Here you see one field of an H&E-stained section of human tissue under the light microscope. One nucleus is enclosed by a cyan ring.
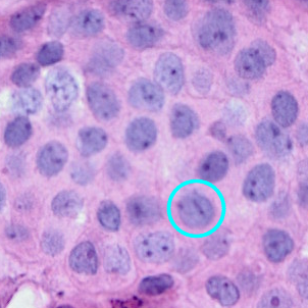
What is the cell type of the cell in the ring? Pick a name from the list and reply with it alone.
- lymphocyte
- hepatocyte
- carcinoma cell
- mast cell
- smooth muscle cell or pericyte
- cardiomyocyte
carcinoma cell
